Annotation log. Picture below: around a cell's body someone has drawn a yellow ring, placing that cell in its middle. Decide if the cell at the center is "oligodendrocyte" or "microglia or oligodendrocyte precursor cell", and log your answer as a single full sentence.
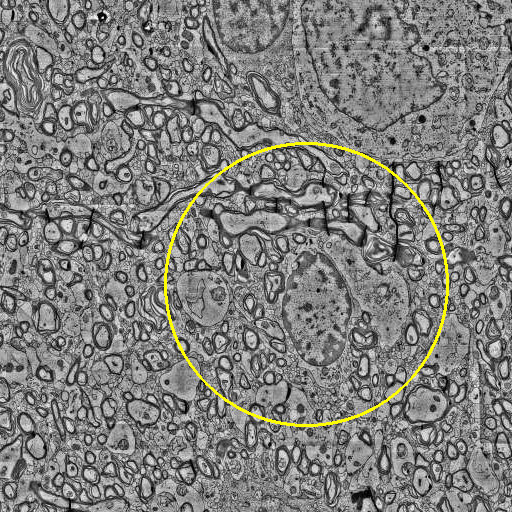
My entry records a microglial cell or oligodendrocyte precursor cell as the cell sitting at the center of the yellow ring.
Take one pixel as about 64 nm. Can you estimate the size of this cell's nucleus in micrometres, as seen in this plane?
In this plane, roughly 7 by 5 micrometres.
